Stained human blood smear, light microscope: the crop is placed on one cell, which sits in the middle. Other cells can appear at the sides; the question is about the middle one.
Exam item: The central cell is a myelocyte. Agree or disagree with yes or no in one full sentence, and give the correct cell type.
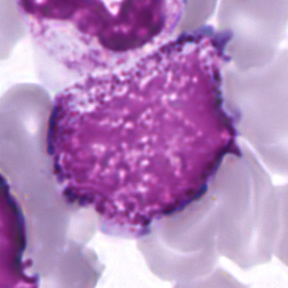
Yes, this crop has a myelocyte at its centre.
